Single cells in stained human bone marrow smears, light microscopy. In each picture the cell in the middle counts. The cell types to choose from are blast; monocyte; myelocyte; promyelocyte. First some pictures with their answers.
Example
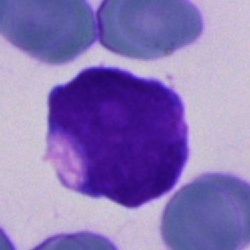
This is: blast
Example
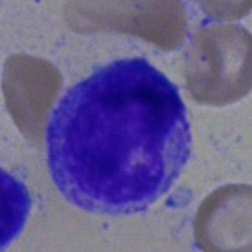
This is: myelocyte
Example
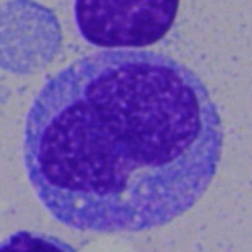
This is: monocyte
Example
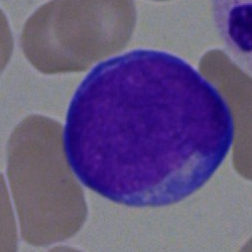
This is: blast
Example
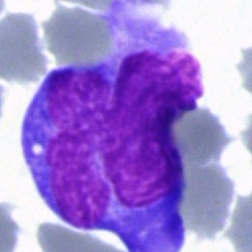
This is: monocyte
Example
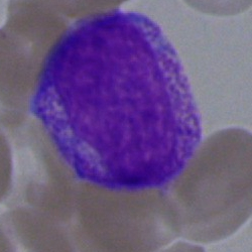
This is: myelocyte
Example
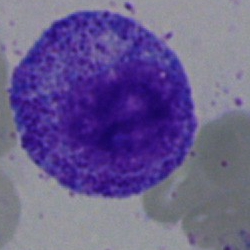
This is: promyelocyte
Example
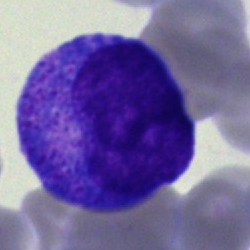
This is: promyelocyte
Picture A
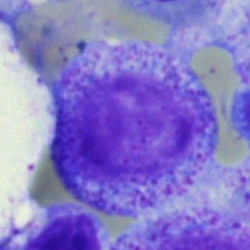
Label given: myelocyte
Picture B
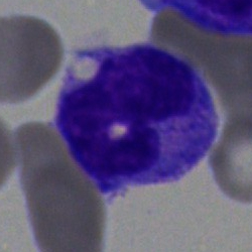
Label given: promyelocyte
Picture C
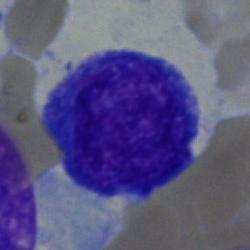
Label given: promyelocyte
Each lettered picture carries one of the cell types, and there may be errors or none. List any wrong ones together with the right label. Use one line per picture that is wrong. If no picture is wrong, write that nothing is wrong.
B: not promyelocyte but monocyte
C: not promyelocyte but blast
